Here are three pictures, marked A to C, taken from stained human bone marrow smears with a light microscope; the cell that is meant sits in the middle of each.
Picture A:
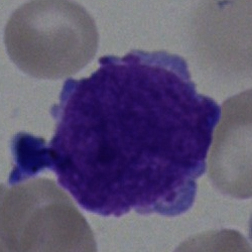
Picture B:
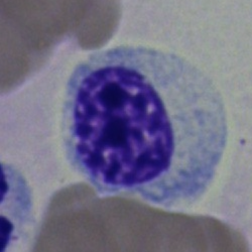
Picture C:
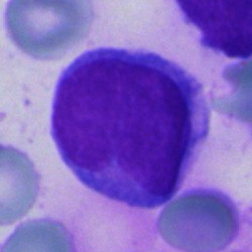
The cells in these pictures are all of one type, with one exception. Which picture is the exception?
B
